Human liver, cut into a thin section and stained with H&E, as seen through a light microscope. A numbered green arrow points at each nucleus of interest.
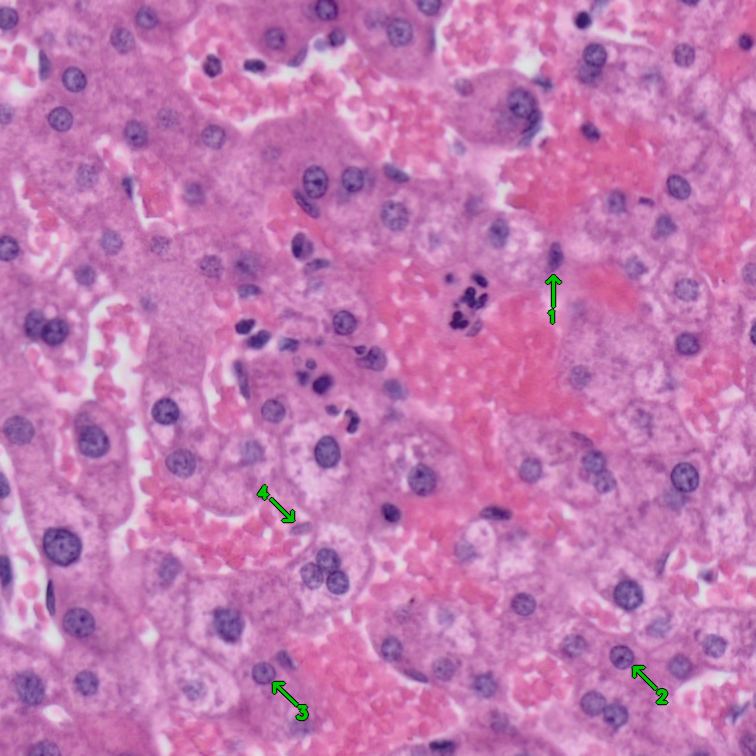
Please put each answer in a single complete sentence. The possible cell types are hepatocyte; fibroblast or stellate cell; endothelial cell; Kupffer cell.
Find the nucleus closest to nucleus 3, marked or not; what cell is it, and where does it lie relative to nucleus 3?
An endothelial cell lies closest, above and to the right of nucleus 3.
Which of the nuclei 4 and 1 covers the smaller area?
With nucleus 1 about 2 times its size, nucleus 4 is the smaller of the two.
